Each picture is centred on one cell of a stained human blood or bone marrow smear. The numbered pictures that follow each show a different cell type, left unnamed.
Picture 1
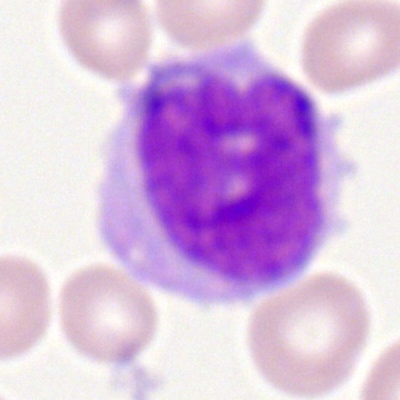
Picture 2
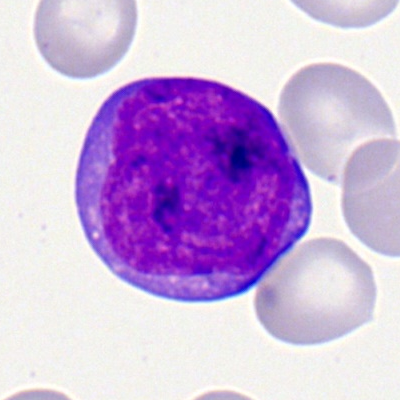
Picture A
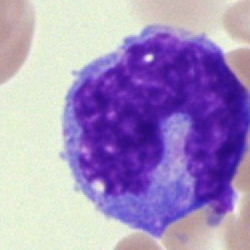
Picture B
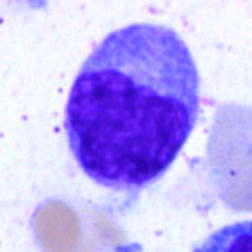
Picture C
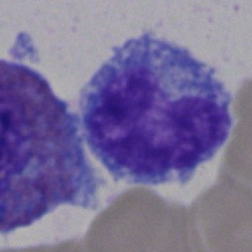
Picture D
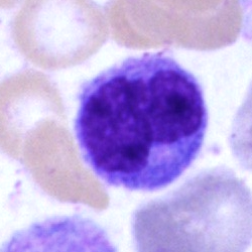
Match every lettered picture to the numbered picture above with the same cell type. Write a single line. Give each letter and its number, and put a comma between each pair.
A 1, B 1, C 1, D 1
